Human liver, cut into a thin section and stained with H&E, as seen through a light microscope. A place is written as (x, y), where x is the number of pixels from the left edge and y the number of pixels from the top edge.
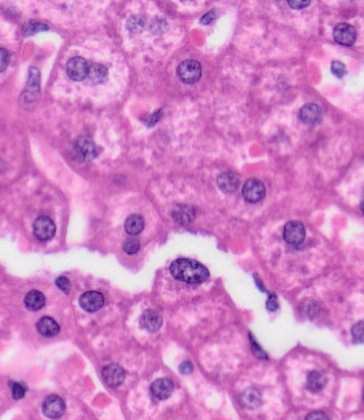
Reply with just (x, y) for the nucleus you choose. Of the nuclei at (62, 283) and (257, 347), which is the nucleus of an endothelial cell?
(257, 347)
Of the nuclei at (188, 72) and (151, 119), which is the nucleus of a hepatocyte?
(188, 72)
